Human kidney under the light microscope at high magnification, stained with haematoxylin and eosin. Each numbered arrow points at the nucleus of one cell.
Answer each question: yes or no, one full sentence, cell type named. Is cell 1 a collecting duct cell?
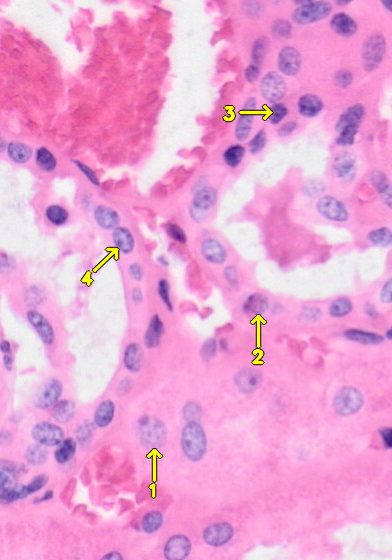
No, the cell tagged 1 is a proximal tubule cell, not a collecting duct cell.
